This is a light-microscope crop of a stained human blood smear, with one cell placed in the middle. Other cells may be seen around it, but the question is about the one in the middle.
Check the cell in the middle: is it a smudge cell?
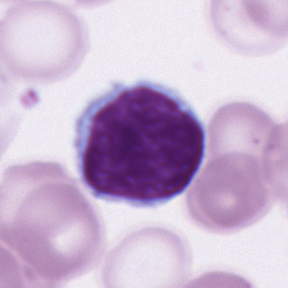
no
